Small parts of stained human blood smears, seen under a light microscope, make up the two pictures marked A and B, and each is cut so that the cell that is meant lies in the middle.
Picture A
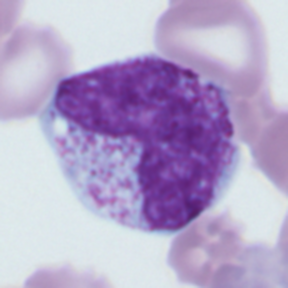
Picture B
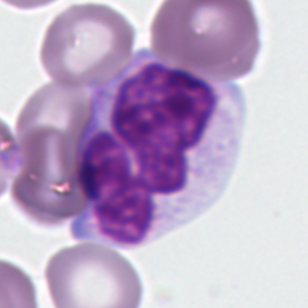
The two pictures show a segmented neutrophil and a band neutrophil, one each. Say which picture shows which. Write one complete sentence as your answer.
Picture A shows a band neutrophil and picture B shows a segmented neutrophil.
